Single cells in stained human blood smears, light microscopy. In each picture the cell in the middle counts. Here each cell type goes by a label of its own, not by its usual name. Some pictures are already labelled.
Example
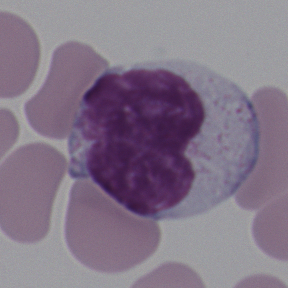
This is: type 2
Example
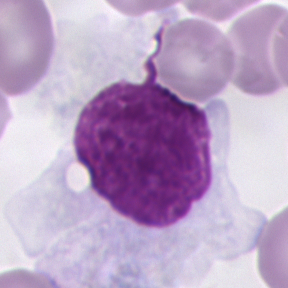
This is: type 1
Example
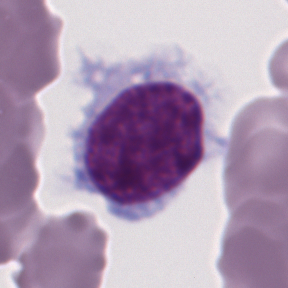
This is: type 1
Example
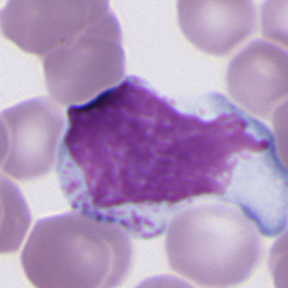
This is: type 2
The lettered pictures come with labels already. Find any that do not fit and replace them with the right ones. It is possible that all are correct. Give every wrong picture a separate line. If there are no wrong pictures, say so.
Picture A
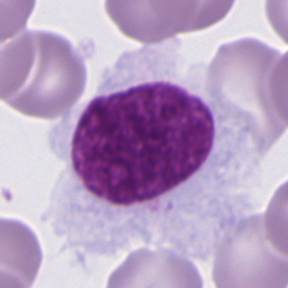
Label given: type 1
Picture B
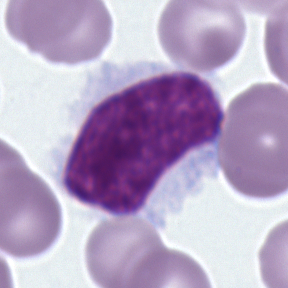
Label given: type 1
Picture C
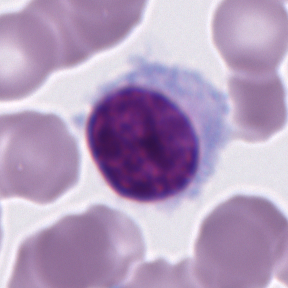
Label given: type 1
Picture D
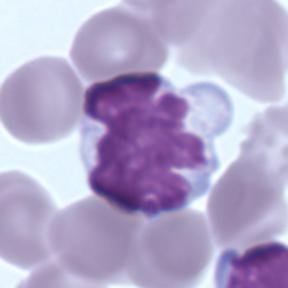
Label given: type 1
D: not type 1 but type 2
